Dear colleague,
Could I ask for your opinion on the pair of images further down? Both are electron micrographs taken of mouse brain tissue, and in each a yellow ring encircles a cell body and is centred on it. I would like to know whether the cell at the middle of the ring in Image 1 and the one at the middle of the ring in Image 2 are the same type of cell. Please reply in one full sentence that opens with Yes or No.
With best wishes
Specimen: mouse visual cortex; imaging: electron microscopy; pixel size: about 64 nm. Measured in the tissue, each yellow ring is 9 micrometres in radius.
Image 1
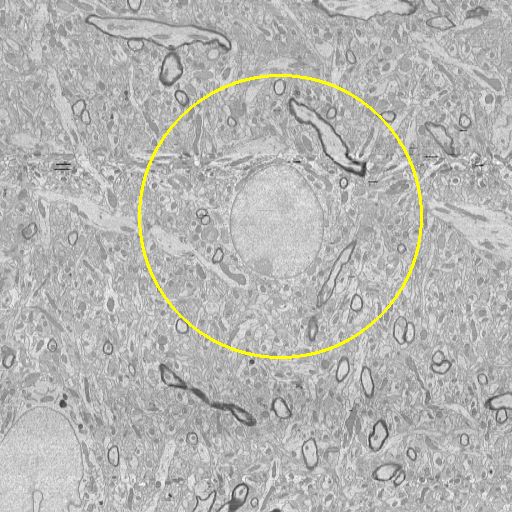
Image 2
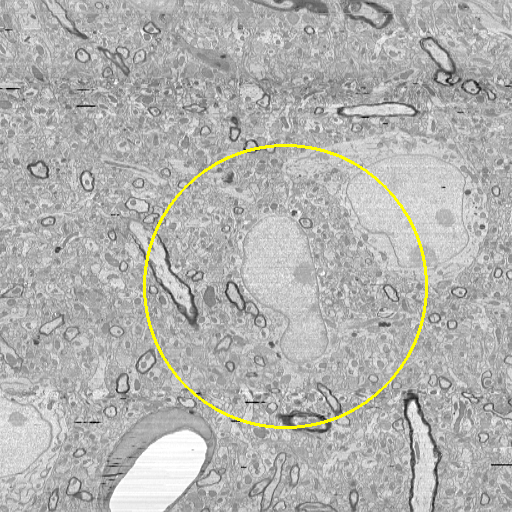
Yes, the cells at the ring centres in Image 1 and Image 2 are of one type.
